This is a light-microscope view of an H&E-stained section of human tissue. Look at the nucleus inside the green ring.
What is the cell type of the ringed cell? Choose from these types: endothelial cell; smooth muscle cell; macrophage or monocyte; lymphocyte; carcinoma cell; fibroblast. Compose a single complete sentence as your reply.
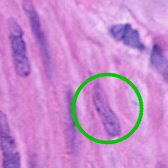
At the level of cell identity, the ringed cell is a smooth muscle cell.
